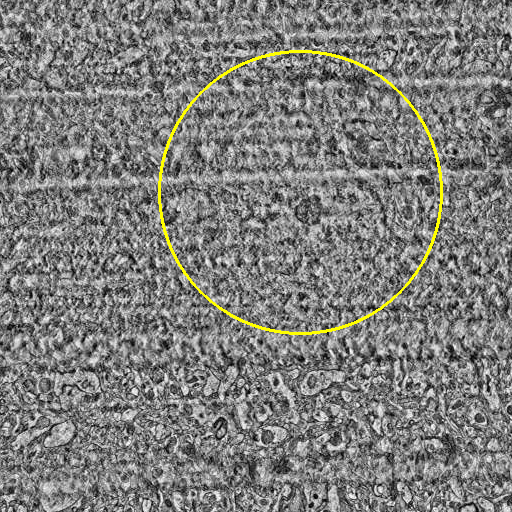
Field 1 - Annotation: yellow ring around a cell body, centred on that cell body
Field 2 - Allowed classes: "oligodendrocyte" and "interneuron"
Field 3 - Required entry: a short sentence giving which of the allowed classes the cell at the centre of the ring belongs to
The centred cell is an interneuron.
